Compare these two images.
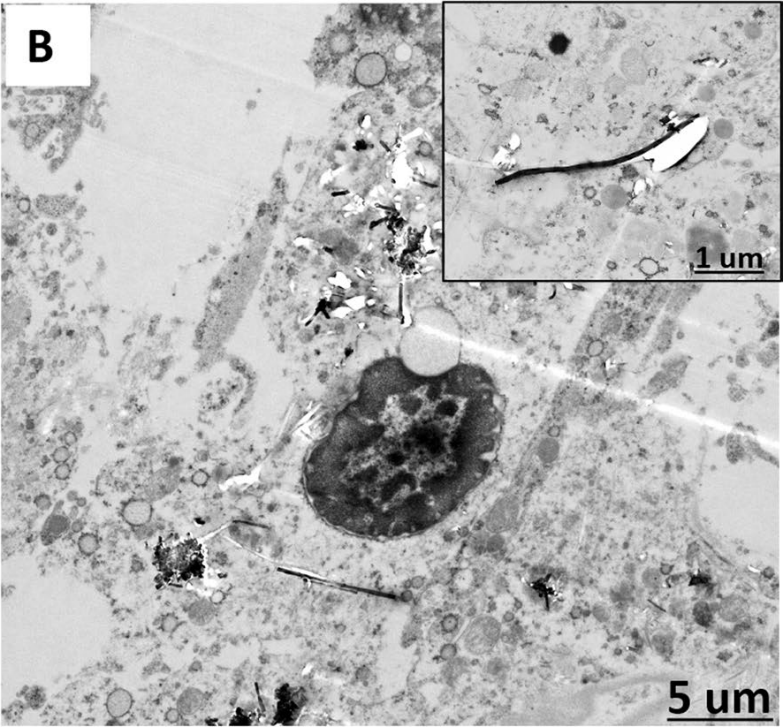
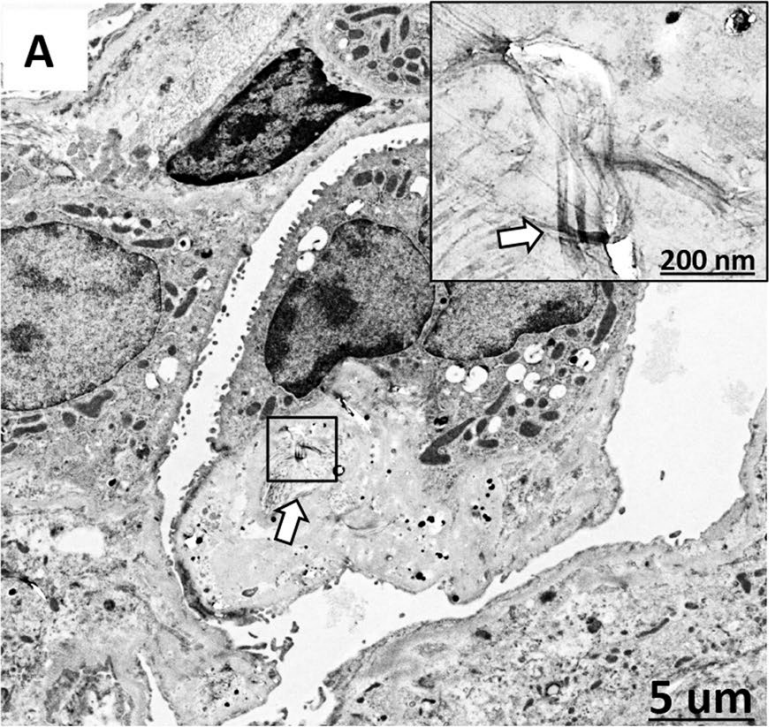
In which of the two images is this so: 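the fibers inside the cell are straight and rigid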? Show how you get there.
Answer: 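First image: dark fibers in the cytoplasm run as straight needles. Second image: the fibers in the boxed area are fine and bend in curves. So: the first image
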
